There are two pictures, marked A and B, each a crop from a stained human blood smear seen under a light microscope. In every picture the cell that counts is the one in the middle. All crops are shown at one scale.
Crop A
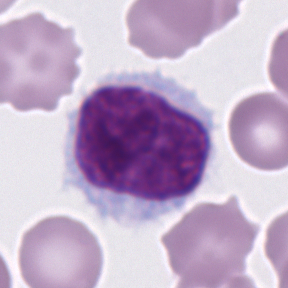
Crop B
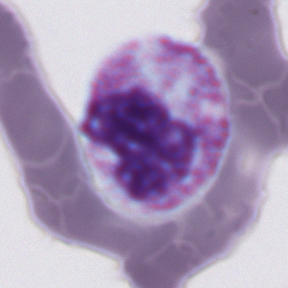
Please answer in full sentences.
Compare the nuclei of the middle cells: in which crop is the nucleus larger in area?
Larger is the nucleus in crop A, at roughly 1.5 times the area of the other.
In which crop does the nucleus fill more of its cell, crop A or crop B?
In crop A the nucleus takes up the larger part of its cell.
